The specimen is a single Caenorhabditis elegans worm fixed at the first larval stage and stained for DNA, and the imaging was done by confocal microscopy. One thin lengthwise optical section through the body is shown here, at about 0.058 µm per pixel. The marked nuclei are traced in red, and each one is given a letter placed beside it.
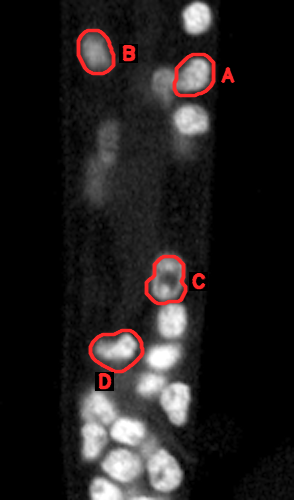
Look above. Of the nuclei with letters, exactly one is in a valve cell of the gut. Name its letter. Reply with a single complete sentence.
It is D that belongs to a valve cell of the gut.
